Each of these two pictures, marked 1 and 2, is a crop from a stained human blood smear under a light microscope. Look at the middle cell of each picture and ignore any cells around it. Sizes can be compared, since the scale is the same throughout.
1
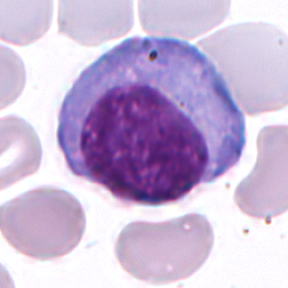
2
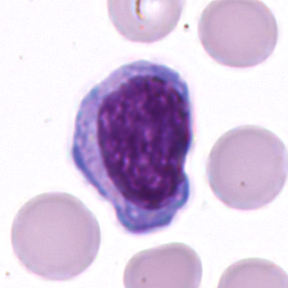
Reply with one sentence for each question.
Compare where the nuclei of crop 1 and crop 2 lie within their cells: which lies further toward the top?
In crop 2 the nucleus is shifted more toward the top.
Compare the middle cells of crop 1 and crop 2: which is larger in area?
Crop 1 holds the larger cell; it covers about 1.5 times the area of the cell in crop 2.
